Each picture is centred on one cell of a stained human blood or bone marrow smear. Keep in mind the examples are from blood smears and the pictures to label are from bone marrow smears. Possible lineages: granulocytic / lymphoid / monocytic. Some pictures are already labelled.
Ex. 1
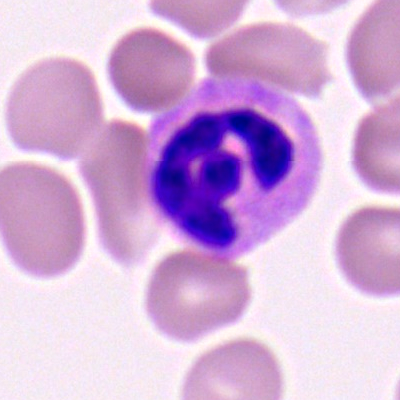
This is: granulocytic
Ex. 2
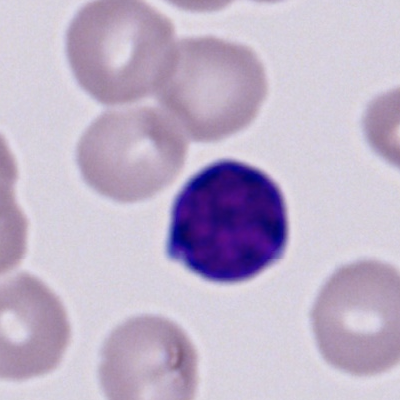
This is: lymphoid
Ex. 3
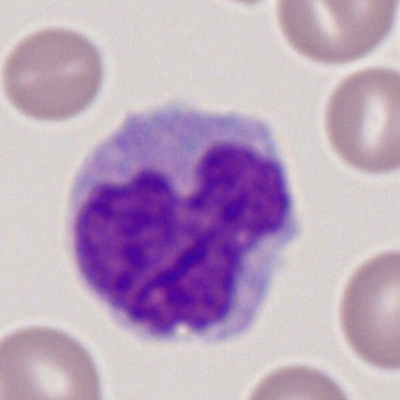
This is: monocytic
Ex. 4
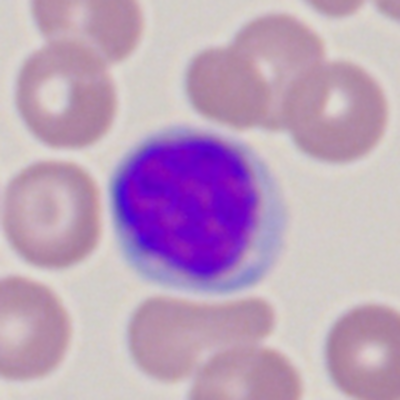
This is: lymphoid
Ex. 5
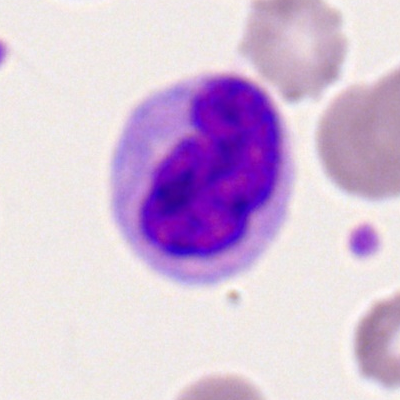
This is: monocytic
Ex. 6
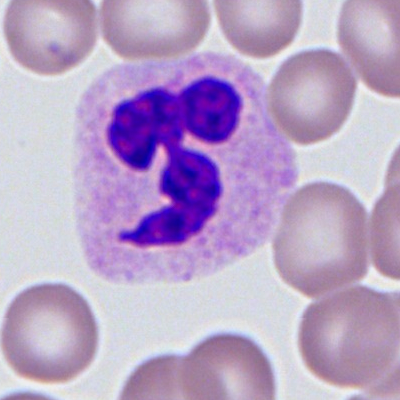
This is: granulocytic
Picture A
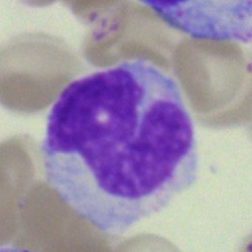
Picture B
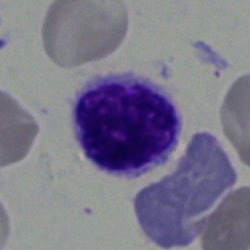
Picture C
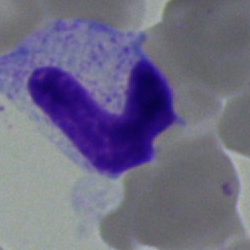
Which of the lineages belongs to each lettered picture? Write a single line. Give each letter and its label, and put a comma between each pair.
A monocytic, B lymphoid, C granulocytic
